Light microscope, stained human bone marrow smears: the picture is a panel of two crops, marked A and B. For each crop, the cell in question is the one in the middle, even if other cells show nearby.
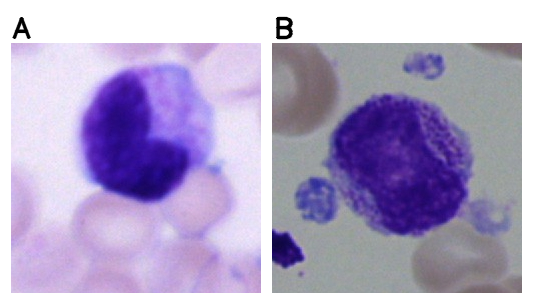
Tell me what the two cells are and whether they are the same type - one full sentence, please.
Yes, metamyelocytes are the central cells in the two crops.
